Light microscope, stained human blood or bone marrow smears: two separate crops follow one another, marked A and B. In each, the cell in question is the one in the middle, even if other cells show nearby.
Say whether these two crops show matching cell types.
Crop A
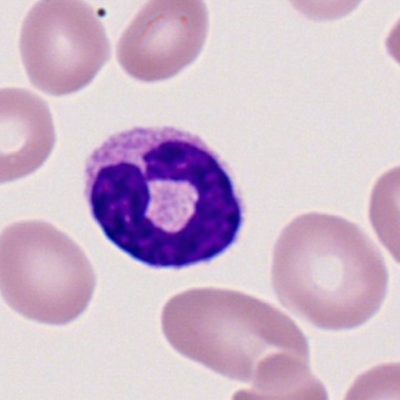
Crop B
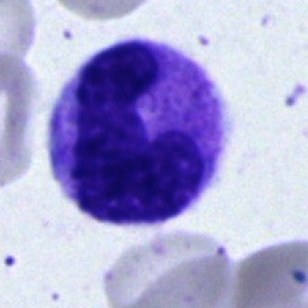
yes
